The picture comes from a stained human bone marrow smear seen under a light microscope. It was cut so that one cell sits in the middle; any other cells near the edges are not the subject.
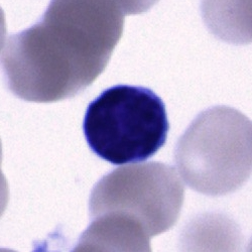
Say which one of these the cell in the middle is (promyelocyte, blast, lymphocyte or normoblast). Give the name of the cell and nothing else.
lymphocyte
